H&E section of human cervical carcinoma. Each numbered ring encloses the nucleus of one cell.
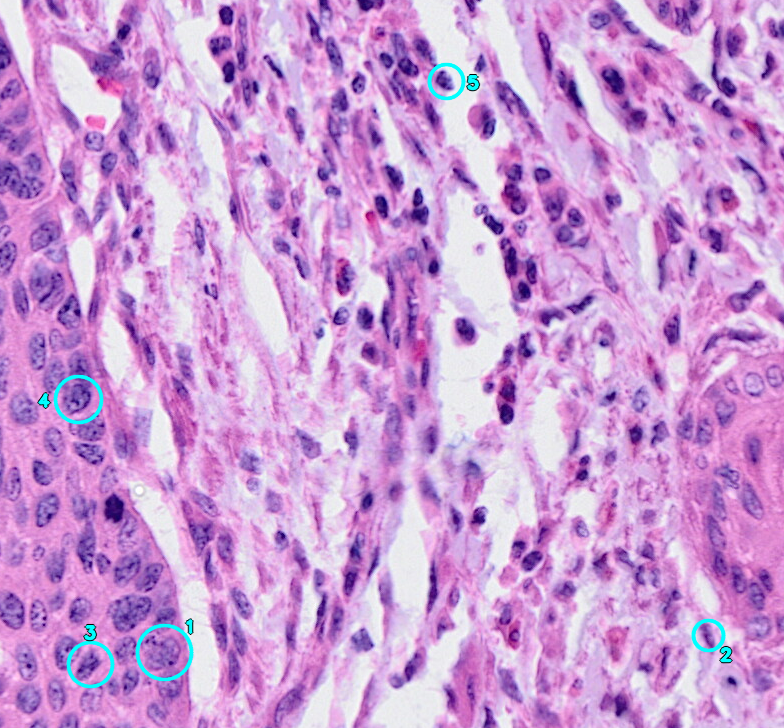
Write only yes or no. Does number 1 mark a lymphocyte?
no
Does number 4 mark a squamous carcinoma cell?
yes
